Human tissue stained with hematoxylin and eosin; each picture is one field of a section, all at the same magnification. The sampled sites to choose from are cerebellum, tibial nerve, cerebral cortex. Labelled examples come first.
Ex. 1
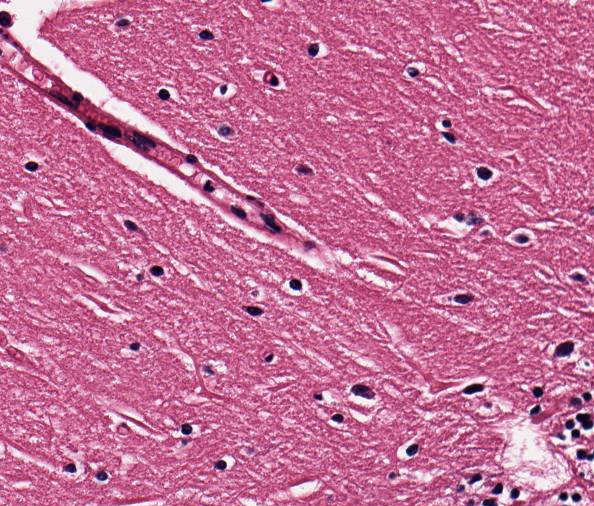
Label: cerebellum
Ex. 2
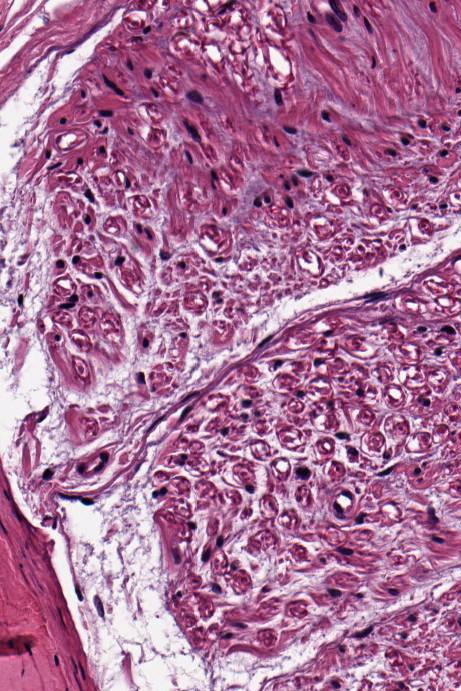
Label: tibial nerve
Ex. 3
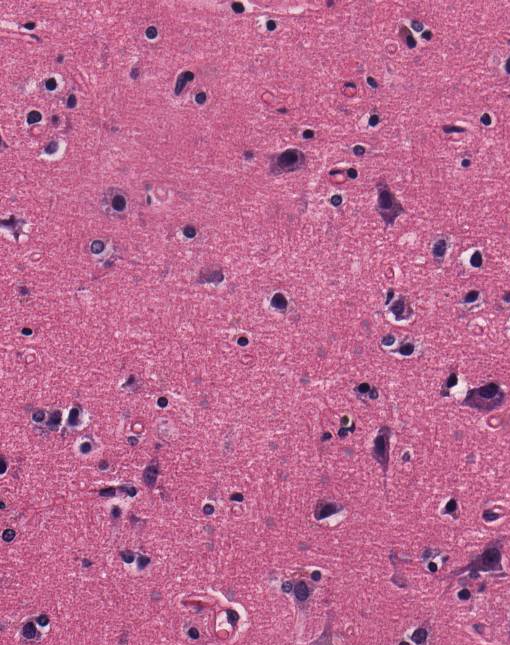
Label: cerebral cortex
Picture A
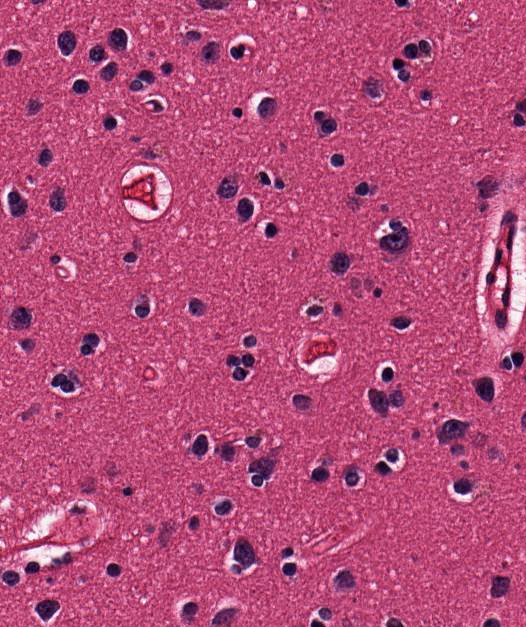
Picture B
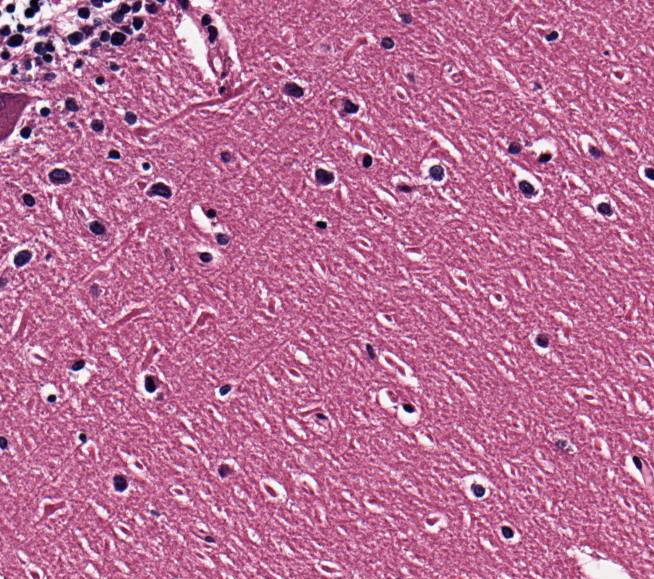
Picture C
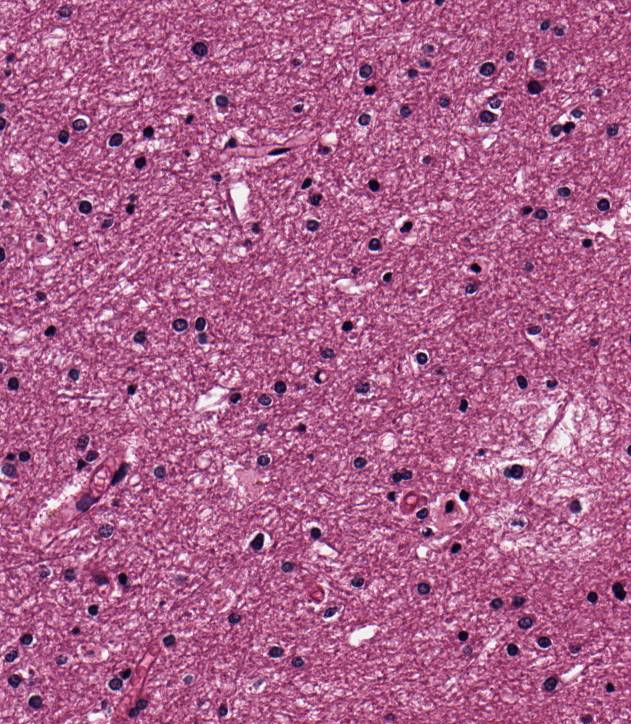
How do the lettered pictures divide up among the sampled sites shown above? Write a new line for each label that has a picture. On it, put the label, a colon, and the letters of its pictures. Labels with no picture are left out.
cerebellum: B
cerebral cortex: A, C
